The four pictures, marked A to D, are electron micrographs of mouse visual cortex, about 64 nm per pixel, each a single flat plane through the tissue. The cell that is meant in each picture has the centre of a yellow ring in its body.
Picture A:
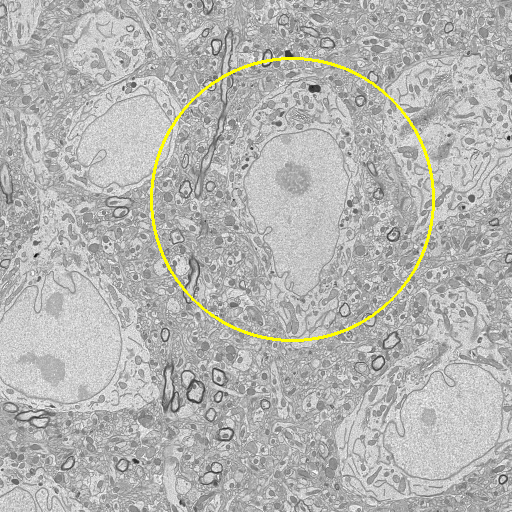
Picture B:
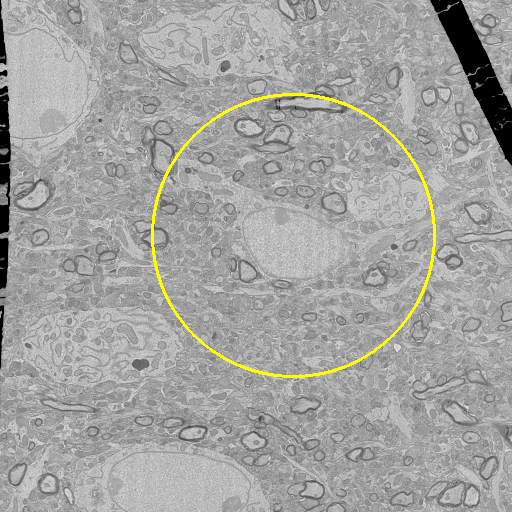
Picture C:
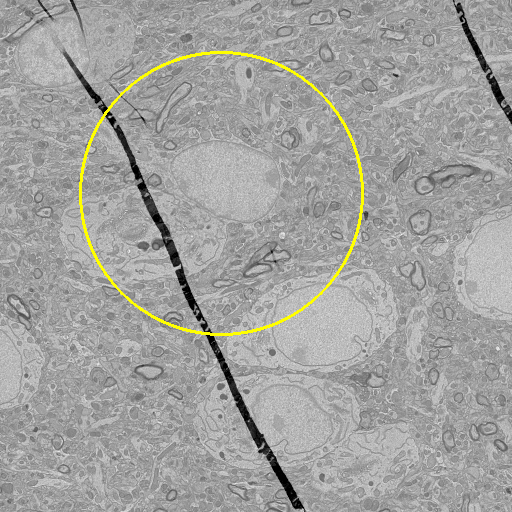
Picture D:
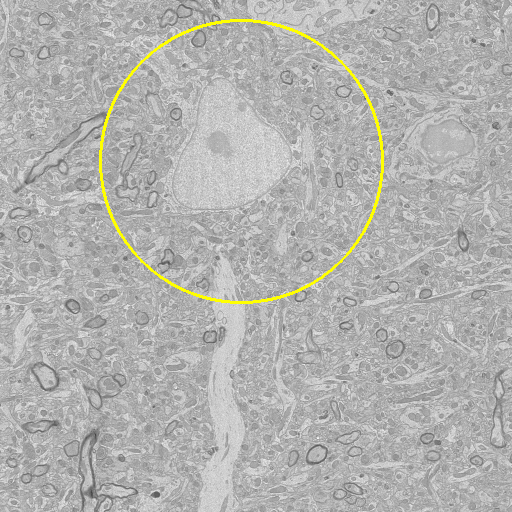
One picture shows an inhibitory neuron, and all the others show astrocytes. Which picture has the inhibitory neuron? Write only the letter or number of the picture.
A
